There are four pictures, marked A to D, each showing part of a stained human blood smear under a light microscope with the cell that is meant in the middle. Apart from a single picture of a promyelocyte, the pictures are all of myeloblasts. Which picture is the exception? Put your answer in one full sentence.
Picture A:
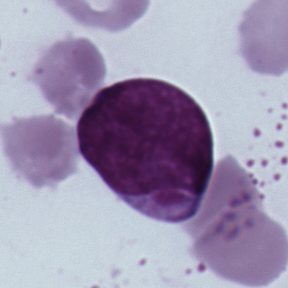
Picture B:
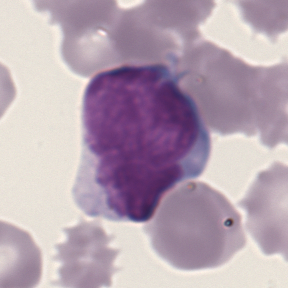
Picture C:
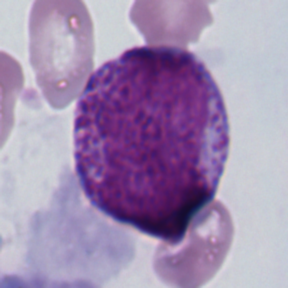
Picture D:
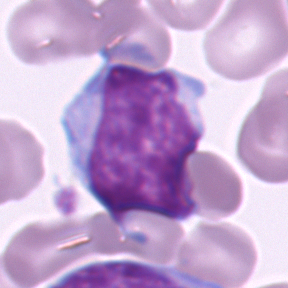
It is picture C that shows the promyelocyte.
